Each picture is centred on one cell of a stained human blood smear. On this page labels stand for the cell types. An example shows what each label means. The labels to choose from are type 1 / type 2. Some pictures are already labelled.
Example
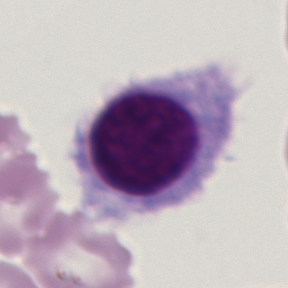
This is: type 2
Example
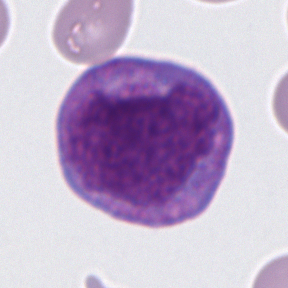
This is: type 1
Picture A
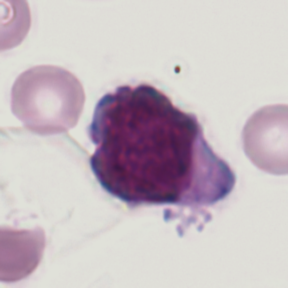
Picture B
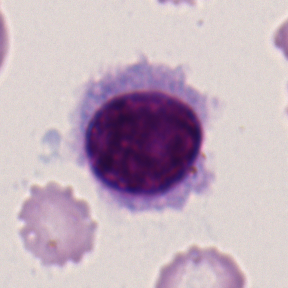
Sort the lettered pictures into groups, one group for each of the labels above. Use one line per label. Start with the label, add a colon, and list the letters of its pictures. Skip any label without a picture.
type 1: A
type 2: B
